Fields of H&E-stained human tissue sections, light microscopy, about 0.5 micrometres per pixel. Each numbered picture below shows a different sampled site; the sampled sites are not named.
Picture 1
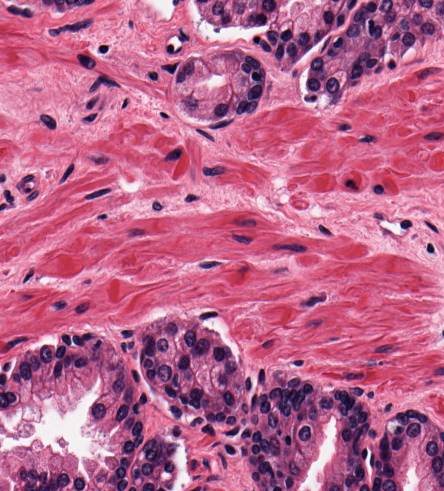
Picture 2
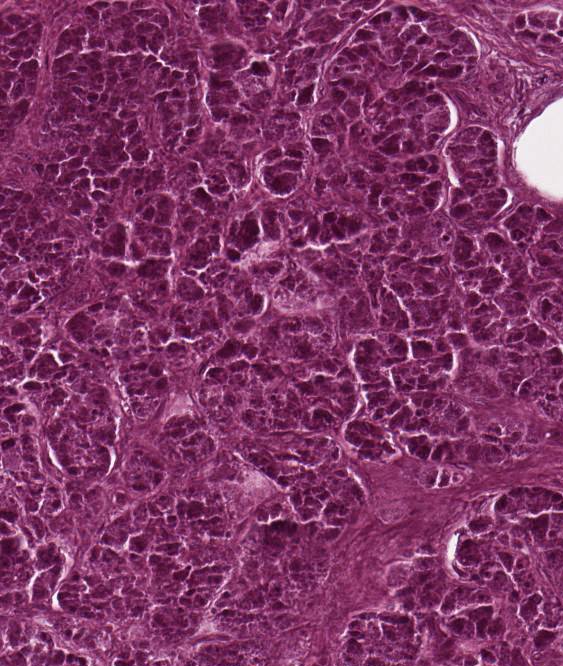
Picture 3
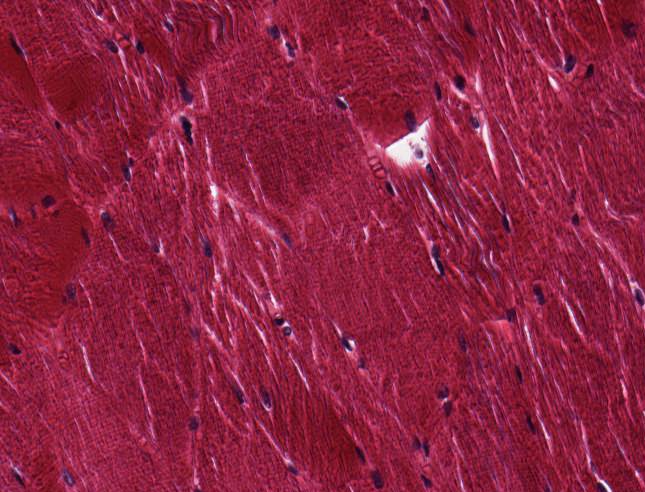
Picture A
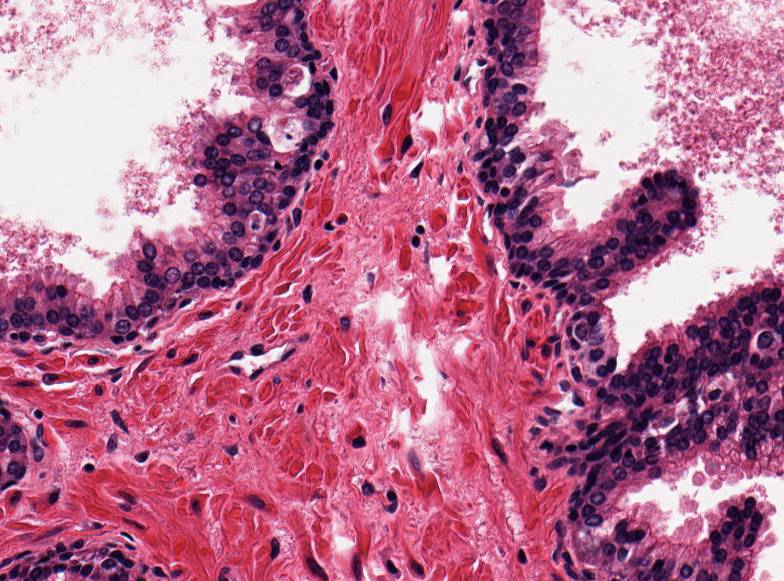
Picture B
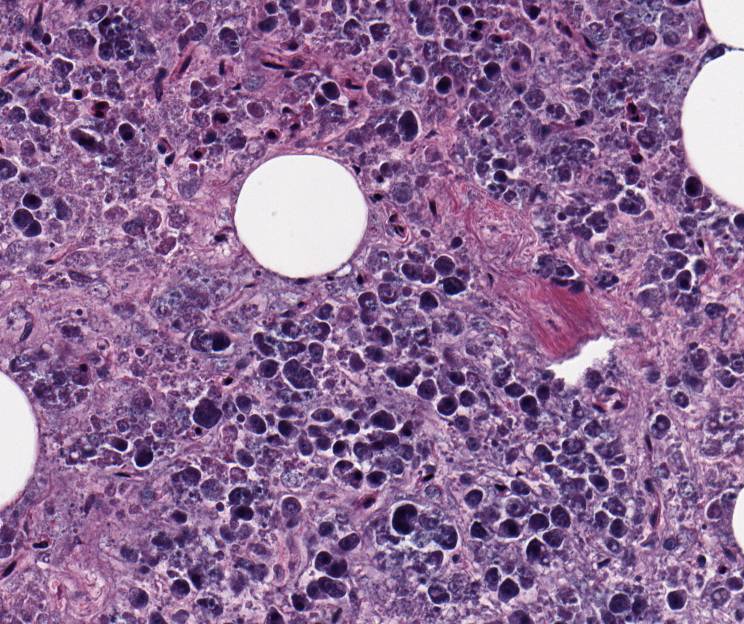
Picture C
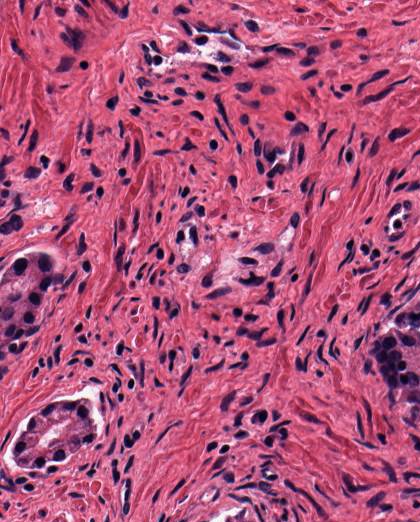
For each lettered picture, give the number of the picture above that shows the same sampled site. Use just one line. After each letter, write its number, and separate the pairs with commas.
A 1, B 2, C 1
